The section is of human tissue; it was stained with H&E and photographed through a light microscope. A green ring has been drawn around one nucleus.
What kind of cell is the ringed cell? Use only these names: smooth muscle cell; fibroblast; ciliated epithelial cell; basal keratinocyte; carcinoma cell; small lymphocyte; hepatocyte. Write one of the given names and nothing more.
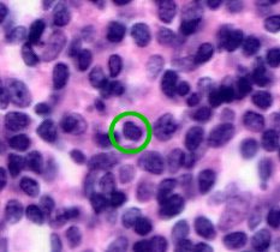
small lymphocyte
